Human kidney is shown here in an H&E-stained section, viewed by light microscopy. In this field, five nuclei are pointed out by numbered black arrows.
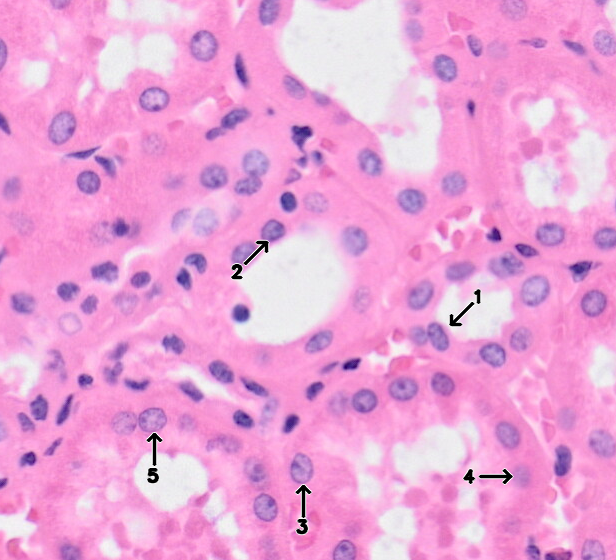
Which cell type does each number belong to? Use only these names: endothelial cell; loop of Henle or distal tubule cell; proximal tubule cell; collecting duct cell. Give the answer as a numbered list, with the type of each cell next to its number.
1. collecting duct cell
2. loop of Henle or distal tubule cell
3. proximal tubule cell
4. proximal tubule cell
5. proximal tubule cell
